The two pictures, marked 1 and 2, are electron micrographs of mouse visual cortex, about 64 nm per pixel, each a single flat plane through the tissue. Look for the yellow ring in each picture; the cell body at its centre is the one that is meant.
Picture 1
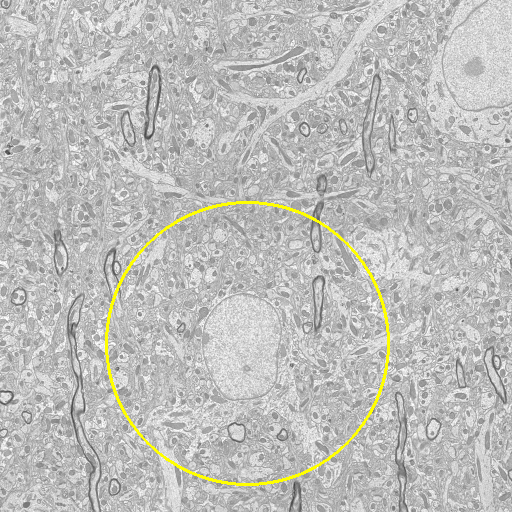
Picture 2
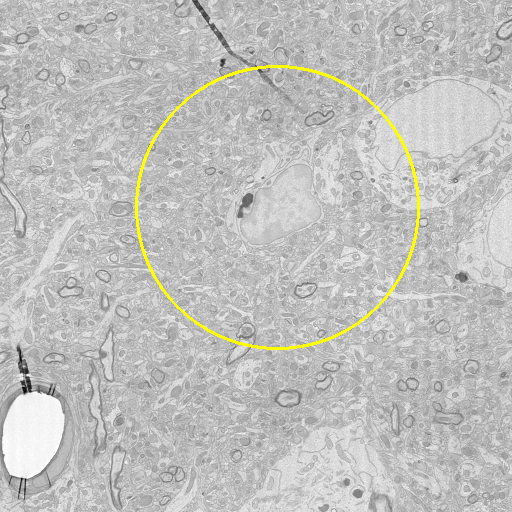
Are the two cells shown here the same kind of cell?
No; the cell in picture 1 is an astrocyte, while the one in picture 2 is a microglial cell.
